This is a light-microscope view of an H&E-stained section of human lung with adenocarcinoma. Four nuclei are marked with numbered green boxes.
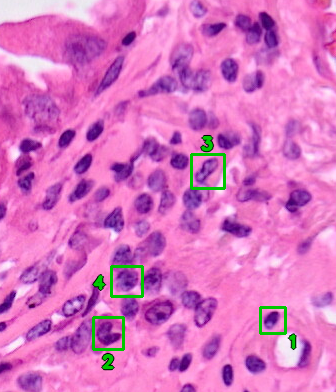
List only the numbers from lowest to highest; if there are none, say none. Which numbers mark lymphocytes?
1, 3, 4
